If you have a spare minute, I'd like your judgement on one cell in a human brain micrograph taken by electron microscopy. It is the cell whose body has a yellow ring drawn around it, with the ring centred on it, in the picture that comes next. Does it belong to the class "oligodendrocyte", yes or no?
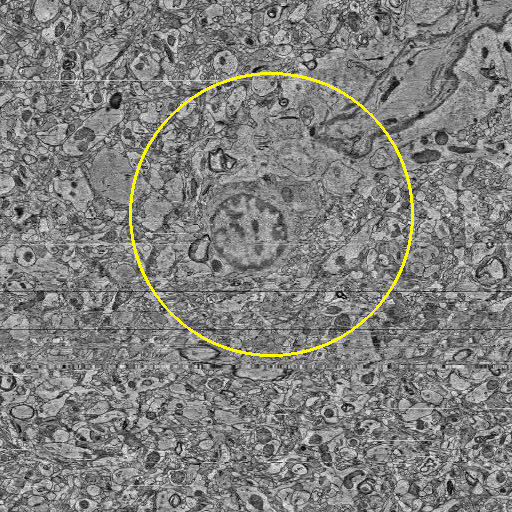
Yes, it belongs to that class.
